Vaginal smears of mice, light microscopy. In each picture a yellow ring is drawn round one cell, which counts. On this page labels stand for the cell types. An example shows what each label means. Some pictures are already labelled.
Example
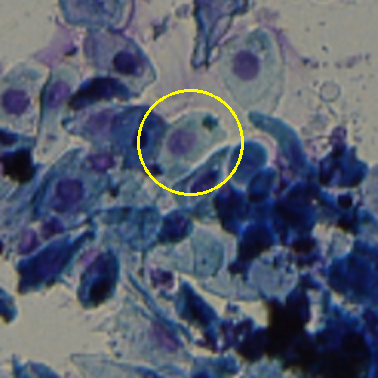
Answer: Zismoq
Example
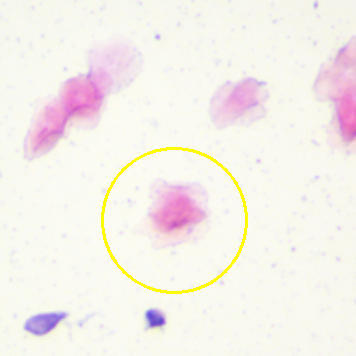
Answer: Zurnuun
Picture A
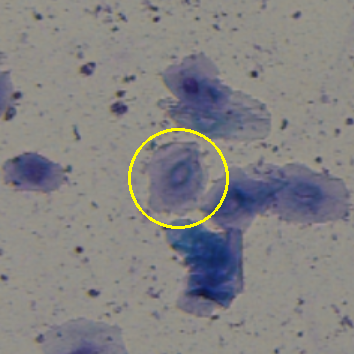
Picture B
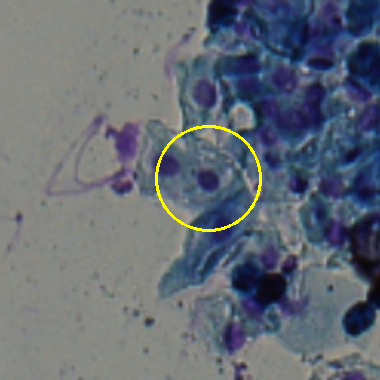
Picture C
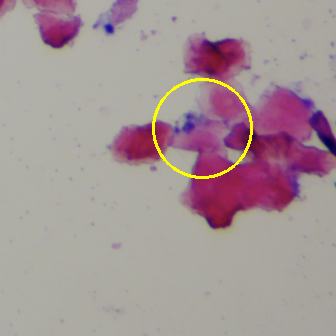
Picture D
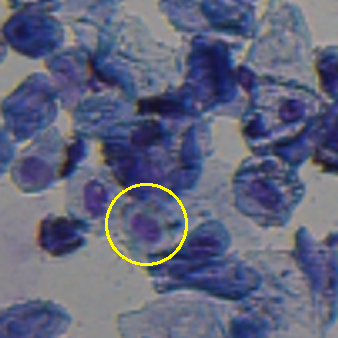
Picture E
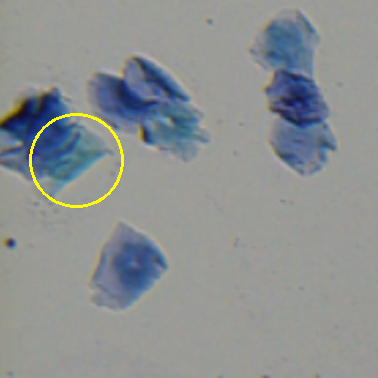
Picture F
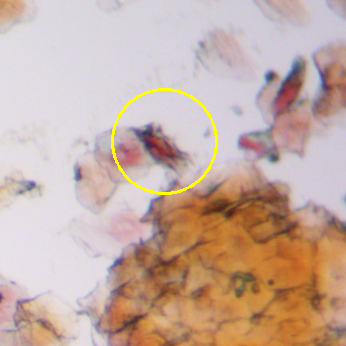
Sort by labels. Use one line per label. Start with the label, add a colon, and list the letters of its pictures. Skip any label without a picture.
Zismoq: A, B, D
Zurnuun: C, E, F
